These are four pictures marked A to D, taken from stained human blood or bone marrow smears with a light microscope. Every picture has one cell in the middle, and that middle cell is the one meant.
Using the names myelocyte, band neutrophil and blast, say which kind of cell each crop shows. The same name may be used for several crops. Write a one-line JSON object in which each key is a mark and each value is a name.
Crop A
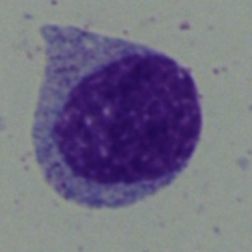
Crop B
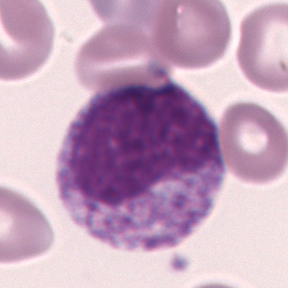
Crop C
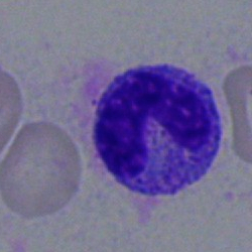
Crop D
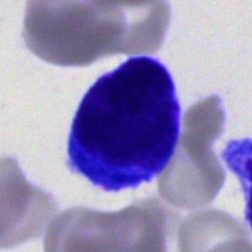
{"A": "myelocyte", "B": "myelocyte", "C": "band neutrophil", "D": "blast"}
